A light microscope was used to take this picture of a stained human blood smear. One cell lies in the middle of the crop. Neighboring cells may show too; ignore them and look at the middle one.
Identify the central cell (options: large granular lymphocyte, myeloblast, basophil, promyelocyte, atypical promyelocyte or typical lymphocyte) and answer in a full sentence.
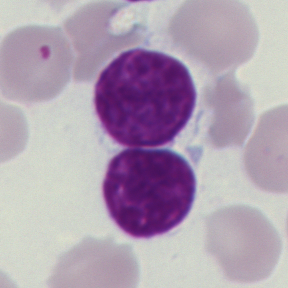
The single cell at the center of the crop is a myeloblast.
